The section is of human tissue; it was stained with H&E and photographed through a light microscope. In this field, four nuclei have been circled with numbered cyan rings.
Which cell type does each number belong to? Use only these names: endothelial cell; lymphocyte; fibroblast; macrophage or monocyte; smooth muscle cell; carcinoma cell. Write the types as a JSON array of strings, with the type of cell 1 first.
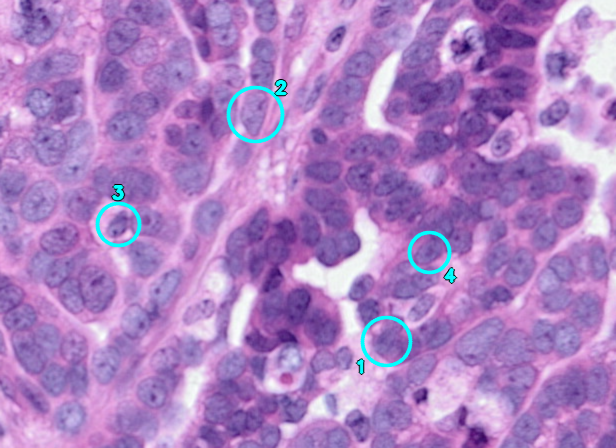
["carcinoma cell", "carcinoma cell", "macrophage or monocyte", "carcinoma cell"]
